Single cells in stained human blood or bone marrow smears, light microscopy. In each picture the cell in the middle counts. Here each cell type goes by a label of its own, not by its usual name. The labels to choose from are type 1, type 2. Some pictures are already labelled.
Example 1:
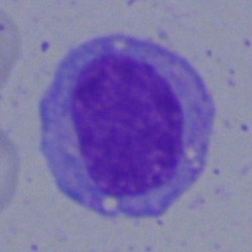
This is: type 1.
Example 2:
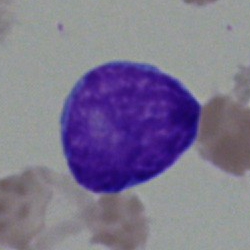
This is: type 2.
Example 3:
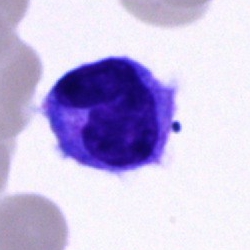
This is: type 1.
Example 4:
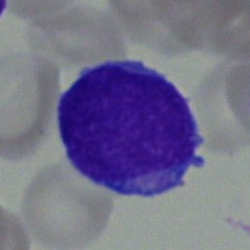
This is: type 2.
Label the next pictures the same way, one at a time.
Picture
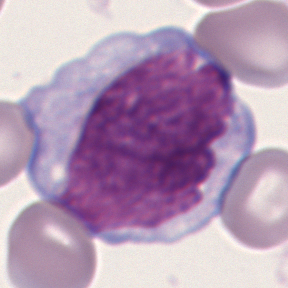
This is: type 1.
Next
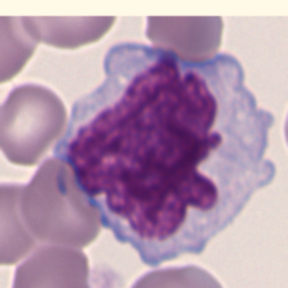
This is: type 1.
